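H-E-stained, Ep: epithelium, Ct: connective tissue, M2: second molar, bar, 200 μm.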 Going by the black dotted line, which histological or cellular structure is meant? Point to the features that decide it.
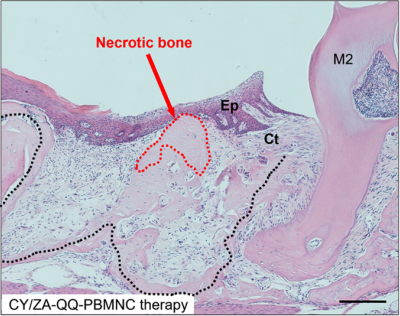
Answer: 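Tooth extraction sockets. The black dotted line traces a concave bony wall next to a tooth. The space it bounds holds loose fibrous tissue and thin new bone strands under a surface covering.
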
